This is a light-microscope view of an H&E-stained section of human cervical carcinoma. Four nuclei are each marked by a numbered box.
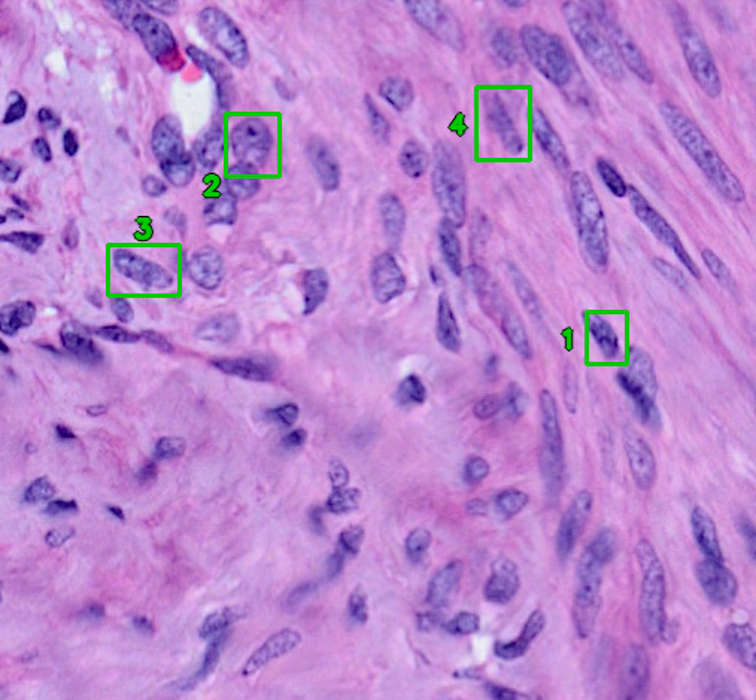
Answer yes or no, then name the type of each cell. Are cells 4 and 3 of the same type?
Yes, cells 4 and 3 are both smooth muscle cells and thus of one type.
